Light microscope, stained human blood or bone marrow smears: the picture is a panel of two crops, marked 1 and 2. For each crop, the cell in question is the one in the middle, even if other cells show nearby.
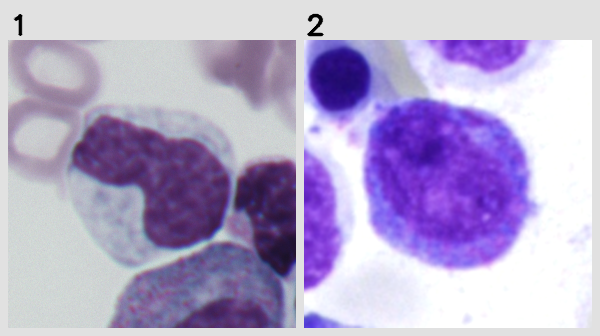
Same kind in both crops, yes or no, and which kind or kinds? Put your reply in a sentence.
No, mark crop 1 as a monocyte and crop 2 as a promyelocyte.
